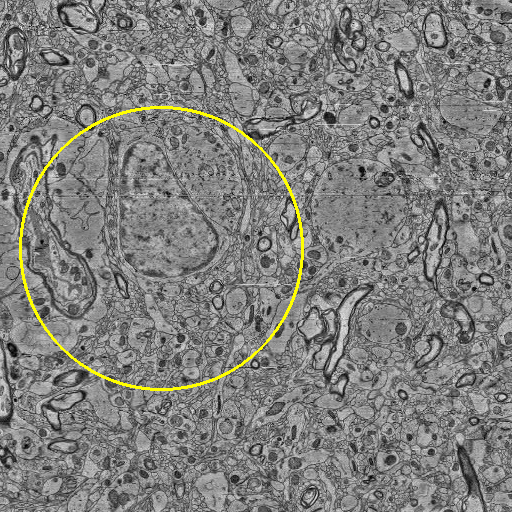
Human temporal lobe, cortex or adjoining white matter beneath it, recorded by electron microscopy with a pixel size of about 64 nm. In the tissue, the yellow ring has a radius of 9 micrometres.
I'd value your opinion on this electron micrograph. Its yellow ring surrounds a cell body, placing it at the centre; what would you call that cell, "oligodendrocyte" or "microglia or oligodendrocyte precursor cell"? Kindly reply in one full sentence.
It is a microglial cell or oligodendrocyte precursor cell that sits centred within the yellow ring in this micrograph.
